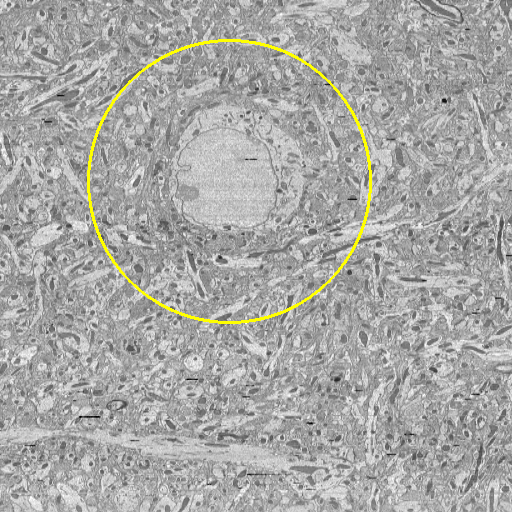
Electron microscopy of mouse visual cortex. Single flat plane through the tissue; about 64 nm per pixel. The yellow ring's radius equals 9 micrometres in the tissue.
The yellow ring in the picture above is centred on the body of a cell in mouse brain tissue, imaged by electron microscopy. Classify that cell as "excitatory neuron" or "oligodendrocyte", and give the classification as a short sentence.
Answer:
The cell in the middle of the ring is an excitatory neuron.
